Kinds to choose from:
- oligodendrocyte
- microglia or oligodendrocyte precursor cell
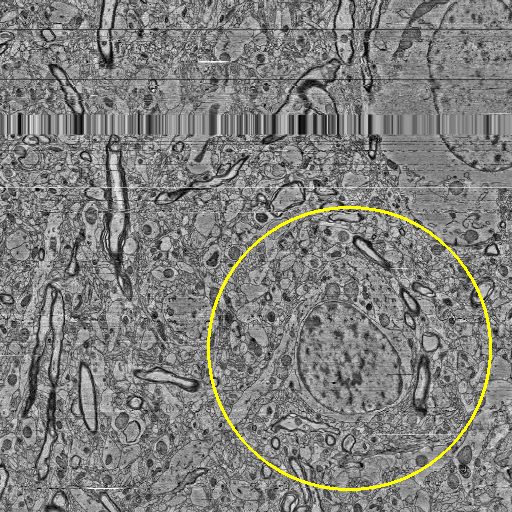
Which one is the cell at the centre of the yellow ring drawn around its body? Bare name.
microglia or oligodendrocyte precursor cell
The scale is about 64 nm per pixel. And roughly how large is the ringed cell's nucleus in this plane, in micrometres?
The nucleus has a long axis of about 8 micrometres and a short axis of about 7 micrometres in this plane.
